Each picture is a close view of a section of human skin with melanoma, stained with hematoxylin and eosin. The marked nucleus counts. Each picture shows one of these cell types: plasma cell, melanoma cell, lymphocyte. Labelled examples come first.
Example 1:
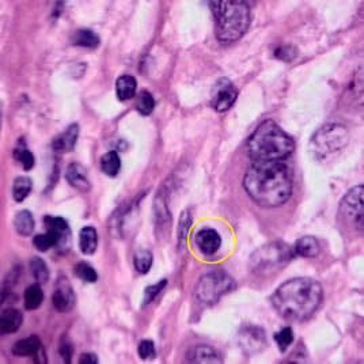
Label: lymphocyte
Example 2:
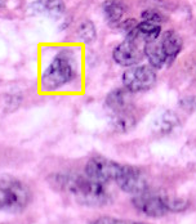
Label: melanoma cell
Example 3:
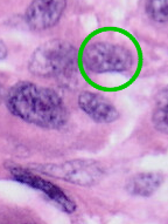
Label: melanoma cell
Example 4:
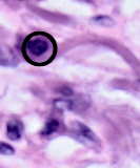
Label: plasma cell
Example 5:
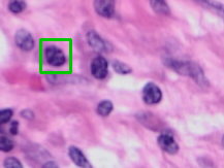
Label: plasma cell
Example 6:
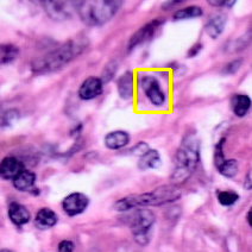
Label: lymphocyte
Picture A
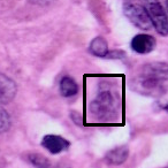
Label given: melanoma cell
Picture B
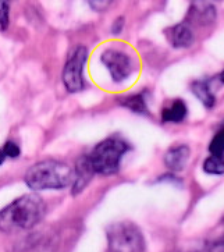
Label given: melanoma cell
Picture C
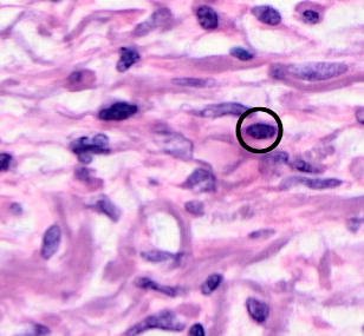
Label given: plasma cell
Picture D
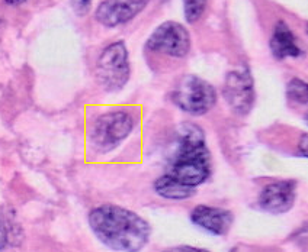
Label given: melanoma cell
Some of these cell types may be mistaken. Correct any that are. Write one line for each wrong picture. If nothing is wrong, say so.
None of the labels needs changing.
